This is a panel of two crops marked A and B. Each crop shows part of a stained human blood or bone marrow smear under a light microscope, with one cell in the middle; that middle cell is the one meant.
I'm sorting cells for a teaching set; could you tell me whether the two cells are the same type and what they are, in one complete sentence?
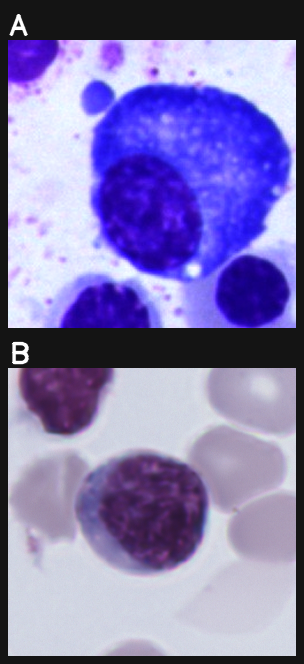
Yes, both crops have plasma cells as their central cells.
